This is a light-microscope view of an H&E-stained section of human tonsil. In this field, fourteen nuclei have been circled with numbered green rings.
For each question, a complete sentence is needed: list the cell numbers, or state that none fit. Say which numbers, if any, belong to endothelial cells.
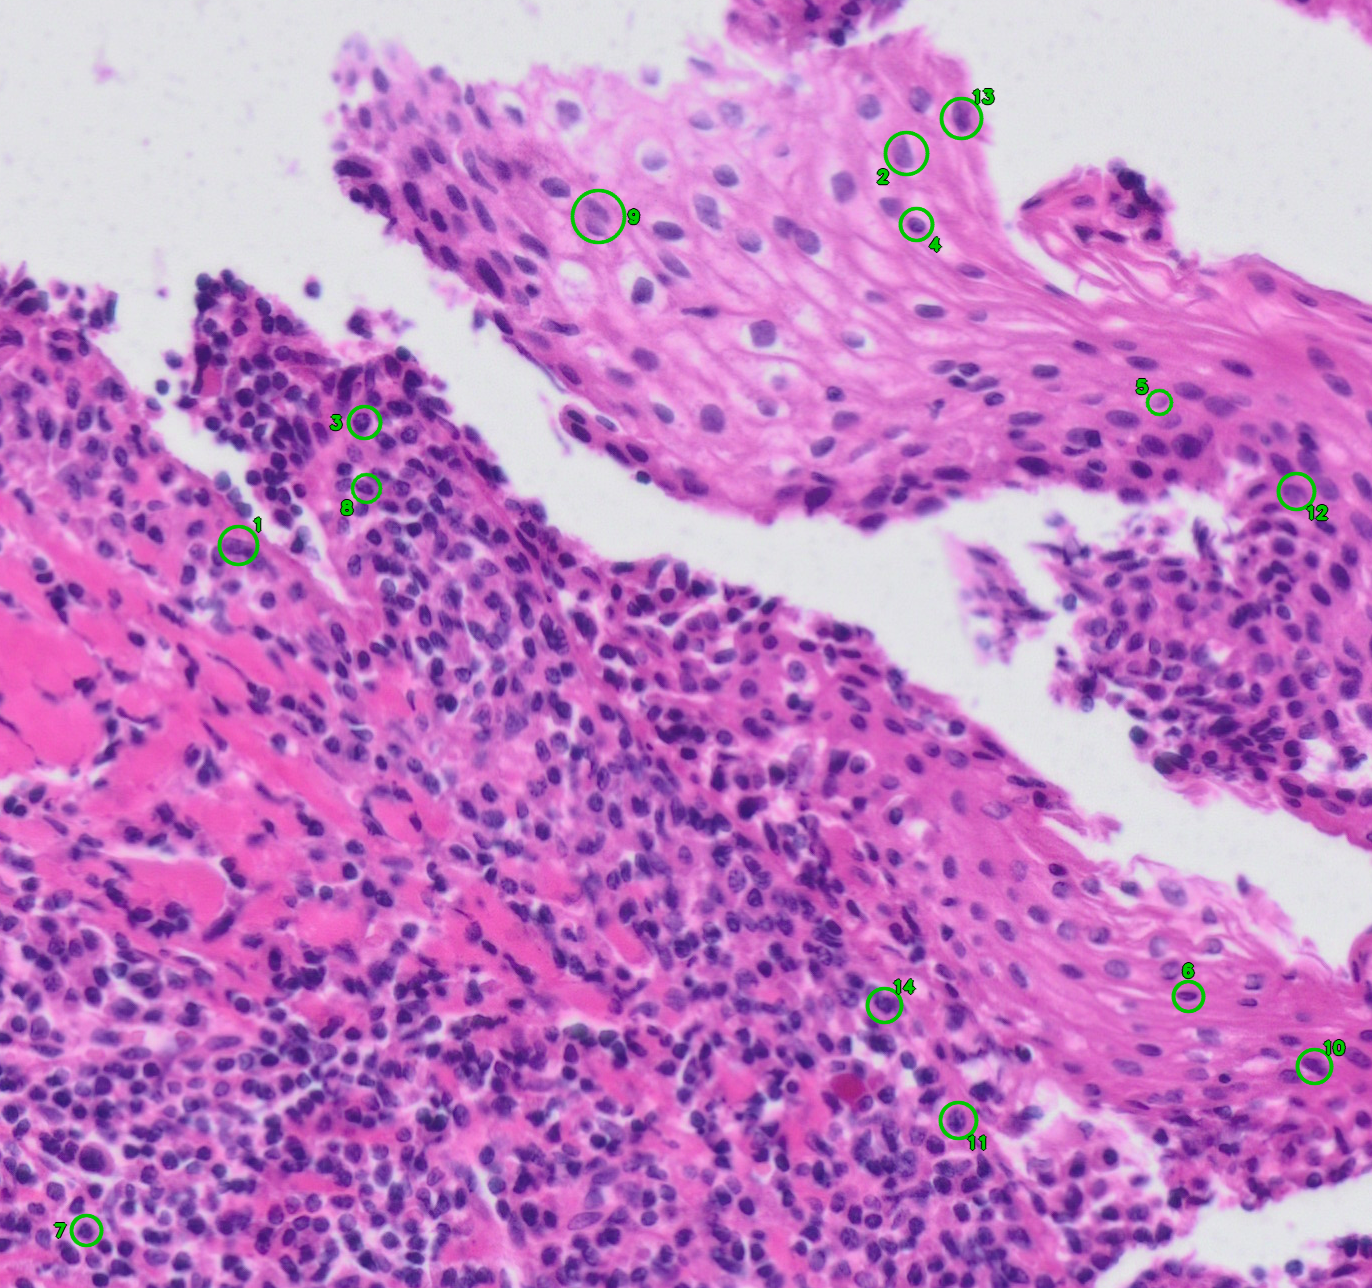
Cell 1 is an endothelial cell, and it is the only numbered cell that is.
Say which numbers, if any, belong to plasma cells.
The cells whose numbers are 3, 7, 8, 11 and 14 are plasma cells.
